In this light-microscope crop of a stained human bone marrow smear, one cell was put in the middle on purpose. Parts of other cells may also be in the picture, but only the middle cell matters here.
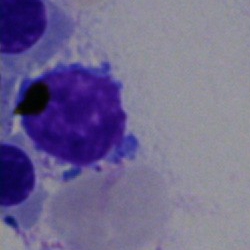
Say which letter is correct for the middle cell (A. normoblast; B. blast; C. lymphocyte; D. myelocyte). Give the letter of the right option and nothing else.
C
